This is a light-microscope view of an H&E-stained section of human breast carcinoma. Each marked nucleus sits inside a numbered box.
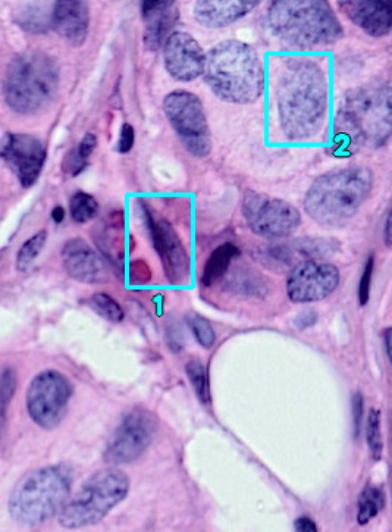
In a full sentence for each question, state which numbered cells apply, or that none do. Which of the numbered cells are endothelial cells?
Response: cell 1 is an endothelial cell, and no other numbered cell is.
